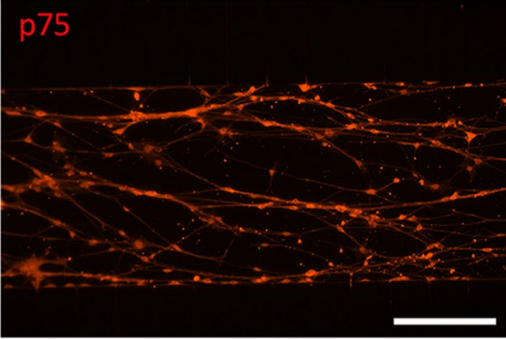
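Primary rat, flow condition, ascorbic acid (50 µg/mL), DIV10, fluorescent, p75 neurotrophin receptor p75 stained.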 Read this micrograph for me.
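These are Schwann cells in a channel, outlined in red so that both their bodies and their processes stand out against a black background. The cell bodies appear as small red swellings strung along the strands. Long, thin red processes stretch across the field, mostly running in the same direction along the channel. Many processes meet and bundle together, making a web of roughly parallel strands with a few branches between them.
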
